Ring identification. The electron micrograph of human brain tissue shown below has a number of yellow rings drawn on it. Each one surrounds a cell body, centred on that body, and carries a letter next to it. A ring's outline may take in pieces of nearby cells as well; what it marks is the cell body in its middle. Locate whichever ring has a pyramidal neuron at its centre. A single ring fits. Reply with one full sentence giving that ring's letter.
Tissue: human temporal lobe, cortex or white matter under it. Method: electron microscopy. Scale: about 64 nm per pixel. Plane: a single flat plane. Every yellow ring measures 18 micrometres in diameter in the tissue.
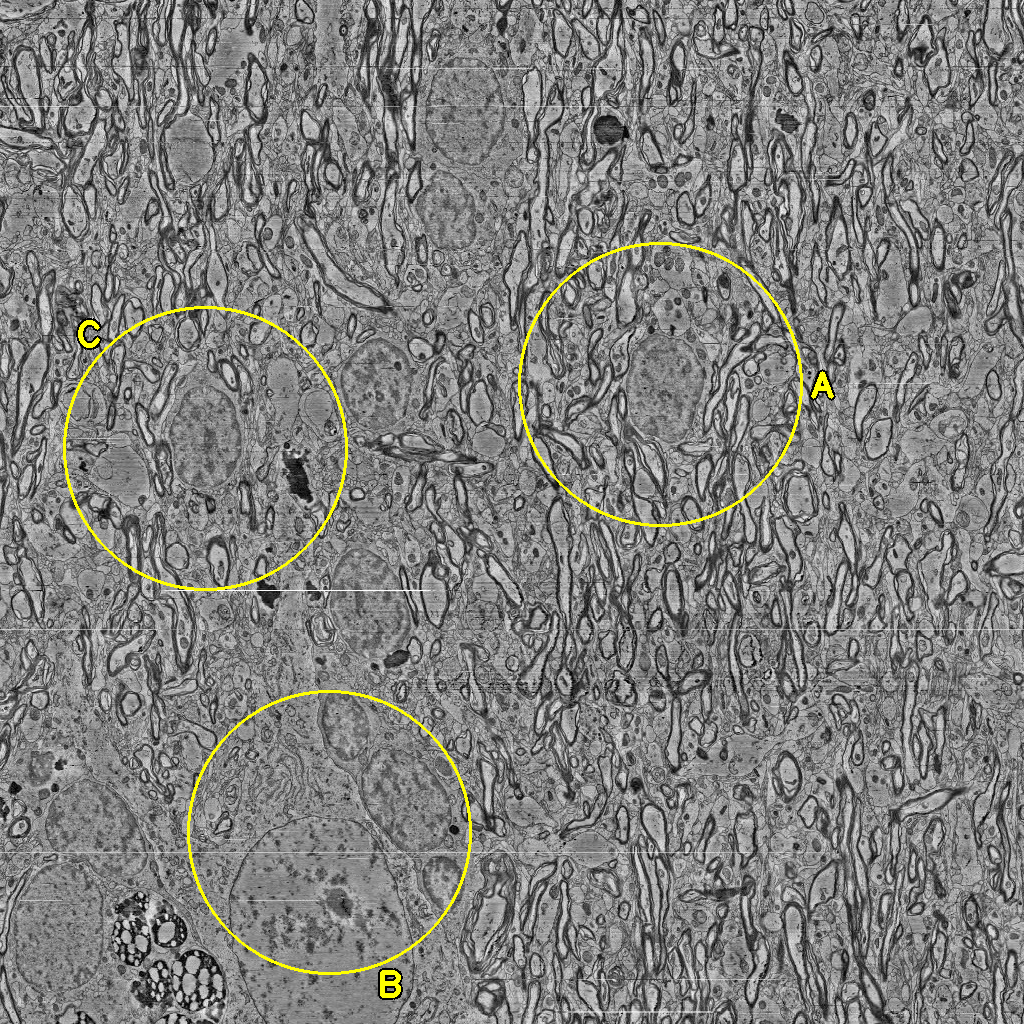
The letter B belongs to the ring centred on a cell of that kind.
